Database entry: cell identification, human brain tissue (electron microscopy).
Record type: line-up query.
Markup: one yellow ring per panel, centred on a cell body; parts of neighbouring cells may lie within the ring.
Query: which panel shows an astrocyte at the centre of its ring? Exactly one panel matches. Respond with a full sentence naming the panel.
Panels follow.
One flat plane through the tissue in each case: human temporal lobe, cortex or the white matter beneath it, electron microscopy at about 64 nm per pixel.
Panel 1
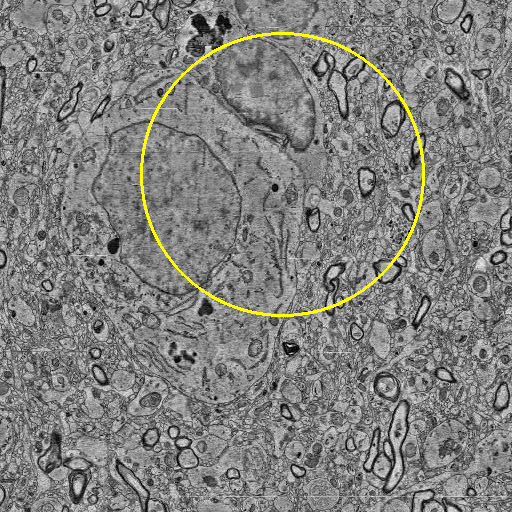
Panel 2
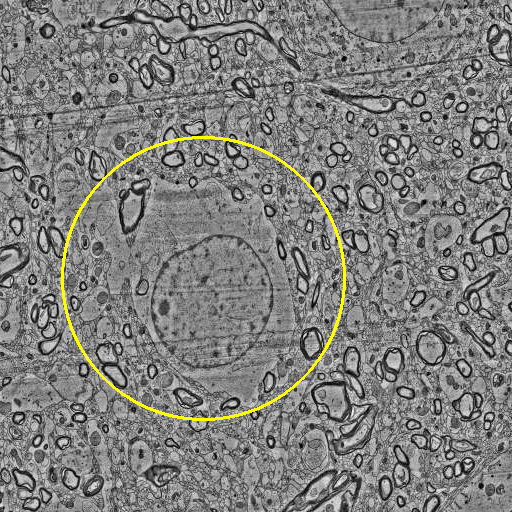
Panel 2 shows it at the centre of the ring.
